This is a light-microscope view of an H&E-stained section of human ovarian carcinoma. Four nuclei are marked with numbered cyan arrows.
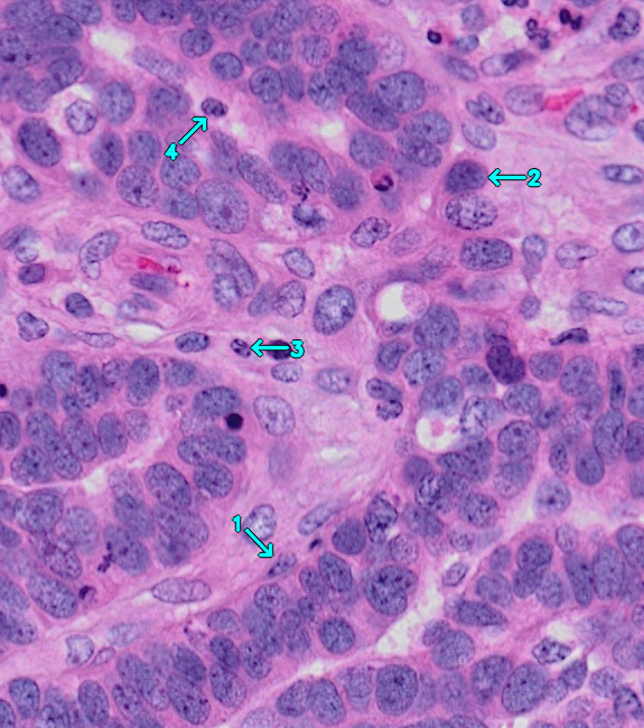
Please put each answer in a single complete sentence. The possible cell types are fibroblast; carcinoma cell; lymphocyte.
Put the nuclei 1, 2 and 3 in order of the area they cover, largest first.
Going from the biggest nucleus down to the smallest gives 2, 1, 3.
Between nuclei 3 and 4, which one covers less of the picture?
With nucleus 4 about 1.5 times its size, nucleus 3 is the smaller of the two.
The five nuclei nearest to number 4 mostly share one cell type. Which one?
Carcinoma cells make up most of the five nuclei closest to number 4.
